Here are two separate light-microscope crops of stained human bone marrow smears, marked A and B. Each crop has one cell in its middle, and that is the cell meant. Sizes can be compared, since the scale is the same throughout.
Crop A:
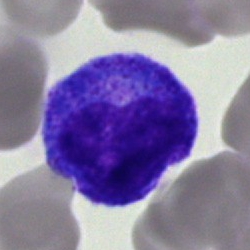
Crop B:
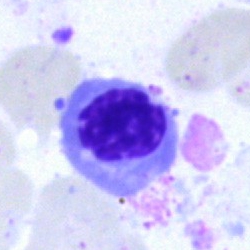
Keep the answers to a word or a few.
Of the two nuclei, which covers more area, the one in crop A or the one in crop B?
A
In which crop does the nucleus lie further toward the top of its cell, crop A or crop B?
B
